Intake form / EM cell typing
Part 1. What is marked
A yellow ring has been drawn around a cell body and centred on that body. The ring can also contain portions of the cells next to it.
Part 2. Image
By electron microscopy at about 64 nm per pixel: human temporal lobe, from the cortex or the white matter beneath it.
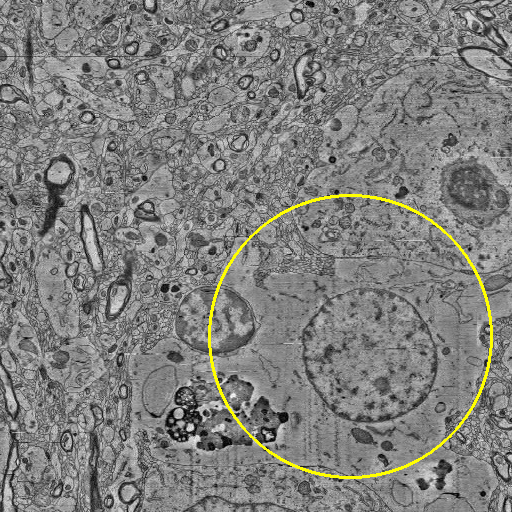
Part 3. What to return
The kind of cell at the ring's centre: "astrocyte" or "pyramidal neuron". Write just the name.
astrocyte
